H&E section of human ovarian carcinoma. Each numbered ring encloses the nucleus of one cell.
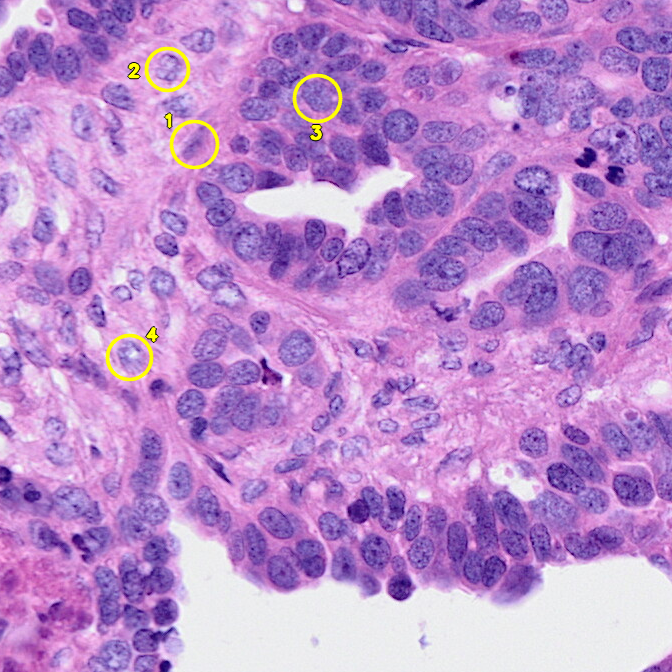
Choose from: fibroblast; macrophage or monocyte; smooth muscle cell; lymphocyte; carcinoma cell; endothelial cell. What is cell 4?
fibroblast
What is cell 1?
fibroblast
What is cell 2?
fibroblast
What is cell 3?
carcinoma cell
